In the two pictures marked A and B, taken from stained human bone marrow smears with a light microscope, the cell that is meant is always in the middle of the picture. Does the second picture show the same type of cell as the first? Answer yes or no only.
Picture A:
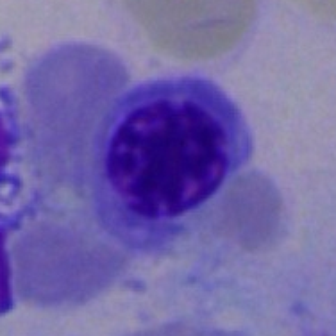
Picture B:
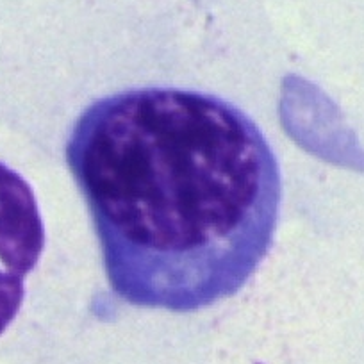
yes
